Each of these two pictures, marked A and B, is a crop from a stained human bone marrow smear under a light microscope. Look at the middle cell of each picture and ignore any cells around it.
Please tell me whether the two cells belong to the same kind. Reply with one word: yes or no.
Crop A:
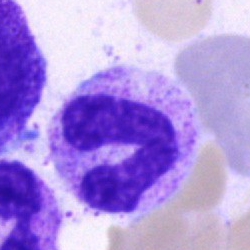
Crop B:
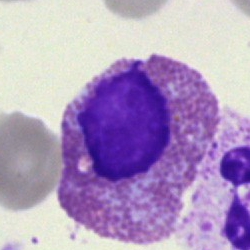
no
